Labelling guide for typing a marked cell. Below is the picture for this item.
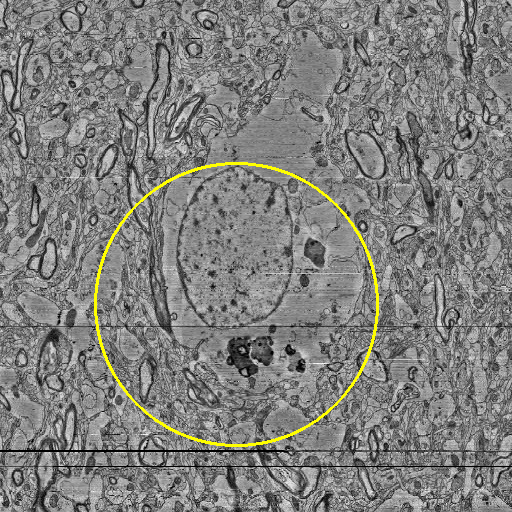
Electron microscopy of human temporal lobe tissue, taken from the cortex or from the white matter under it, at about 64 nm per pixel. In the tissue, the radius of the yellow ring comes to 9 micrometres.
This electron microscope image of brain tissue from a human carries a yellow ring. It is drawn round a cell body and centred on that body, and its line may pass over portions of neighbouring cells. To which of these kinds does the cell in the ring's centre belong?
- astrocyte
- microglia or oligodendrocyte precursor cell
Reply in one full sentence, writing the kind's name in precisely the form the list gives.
Here we have an astrocyte at the centre of the yellow ring in the picture.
